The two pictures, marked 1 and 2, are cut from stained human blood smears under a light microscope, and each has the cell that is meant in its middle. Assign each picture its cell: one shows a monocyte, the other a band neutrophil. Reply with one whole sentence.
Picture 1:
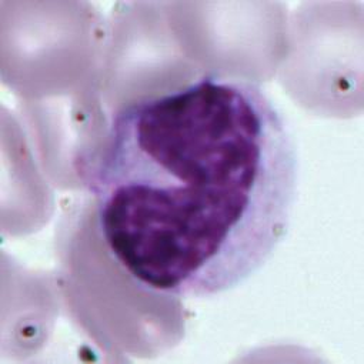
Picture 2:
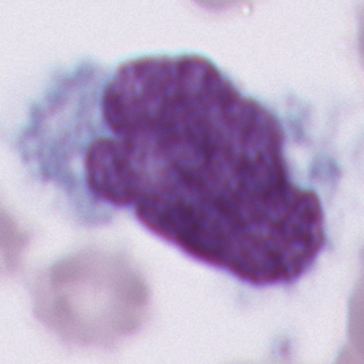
The cell in picture 1 is a band neutrophil, and the one in picture 2 is a monocyte.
